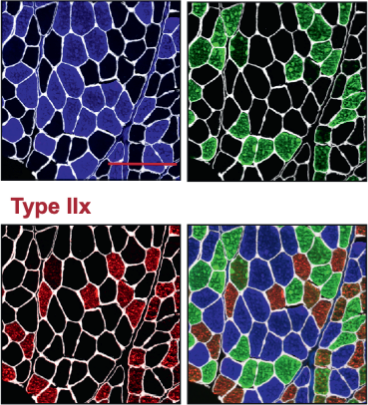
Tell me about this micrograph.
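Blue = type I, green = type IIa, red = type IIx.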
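Three single-colour views and a merged view of the same field are shown. Blue fibers make up a large share of the field and tend to lie together in groups. Green fibers and red fibers are also present and interspersed among the blue ones. In the merged view nearly all fibers carry one of the colours, and a few appear to show more than one colour at once.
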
